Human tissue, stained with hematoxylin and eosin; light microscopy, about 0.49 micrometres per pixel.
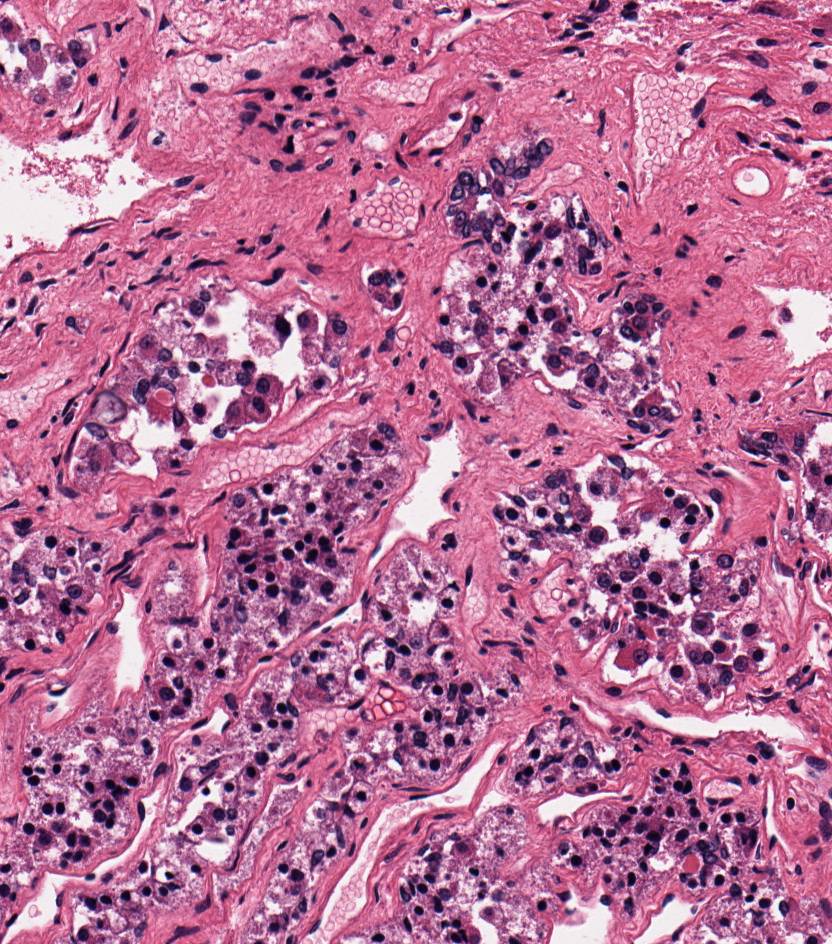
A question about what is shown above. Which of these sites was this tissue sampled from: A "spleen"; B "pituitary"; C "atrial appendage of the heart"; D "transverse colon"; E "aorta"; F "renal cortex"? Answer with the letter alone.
B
